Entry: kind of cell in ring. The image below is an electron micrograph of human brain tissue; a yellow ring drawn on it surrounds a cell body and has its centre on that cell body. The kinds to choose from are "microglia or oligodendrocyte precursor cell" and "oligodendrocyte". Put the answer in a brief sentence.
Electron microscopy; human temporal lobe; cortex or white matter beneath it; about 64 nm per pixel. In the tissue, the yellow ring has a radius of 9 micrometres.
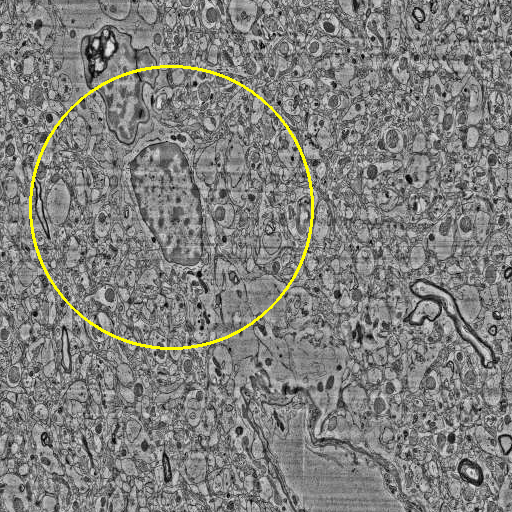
The ring has been drawn around a microglial cell or oligodendrocyte precursor cell.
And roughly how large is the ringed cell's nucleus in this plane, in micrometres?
The nucleus of the ringed cell is clearly longer than it is wide in this plane, about 8 by 4 micrometres.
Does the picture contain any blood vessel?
Yes, the image shows a blood vessel.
